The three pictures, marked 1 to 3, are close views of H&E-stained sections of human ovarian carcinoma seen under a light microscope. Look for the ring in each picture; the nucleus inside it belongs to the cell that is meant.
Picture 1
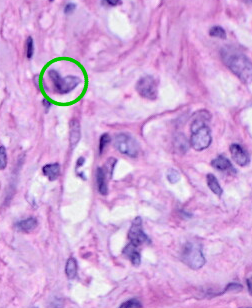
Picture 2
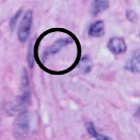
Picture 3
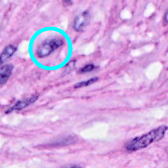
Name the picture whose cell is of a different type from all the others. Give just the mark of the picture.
1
